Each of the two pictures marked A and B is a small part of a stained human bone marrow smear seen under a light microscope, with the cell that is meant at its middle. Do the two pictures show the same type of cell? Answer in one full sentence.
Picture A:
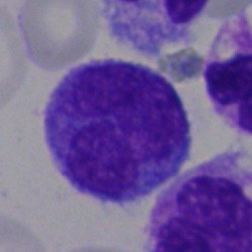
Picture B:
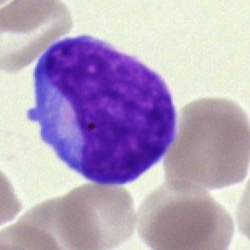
Yes, the two pictures both show blasts.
